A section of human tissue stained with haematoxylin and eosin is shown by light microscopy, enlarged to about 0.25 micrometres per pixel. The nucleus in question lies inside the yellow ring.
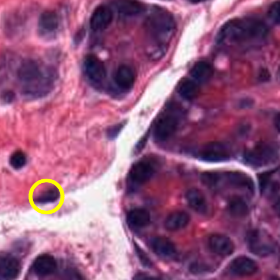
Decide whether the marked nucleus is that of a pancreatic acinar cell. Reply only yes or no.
no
